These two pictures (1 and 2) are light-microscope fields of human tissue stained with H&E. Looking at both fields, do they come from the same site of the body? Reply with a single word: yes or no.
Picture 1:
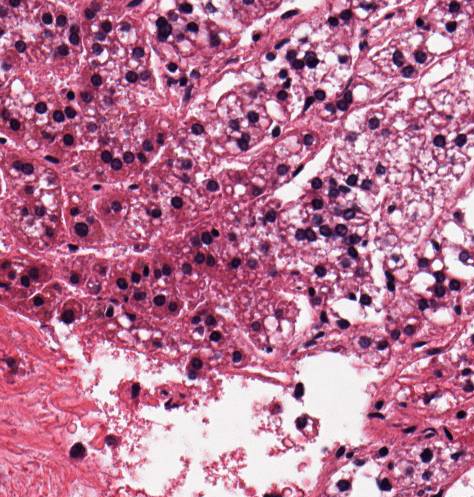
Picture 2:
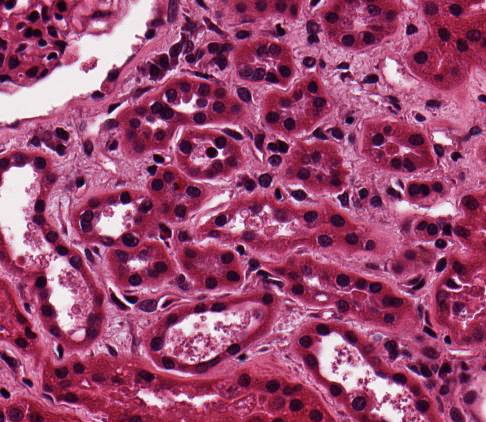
no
